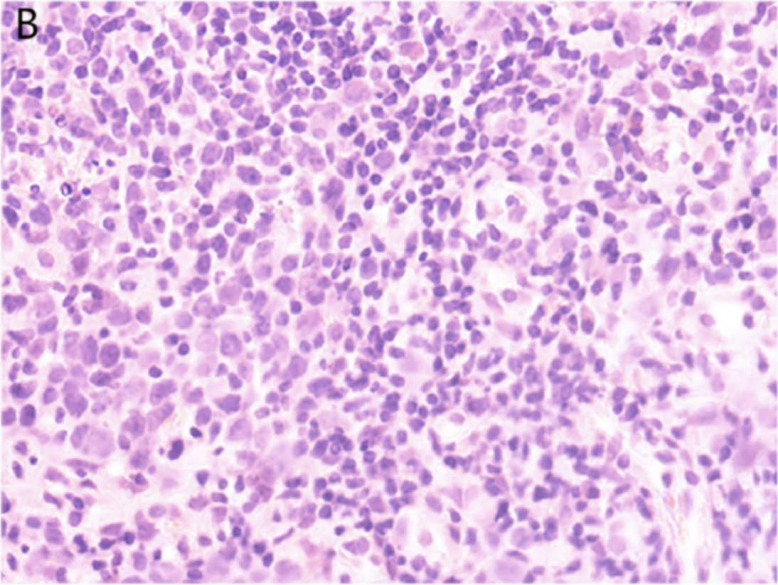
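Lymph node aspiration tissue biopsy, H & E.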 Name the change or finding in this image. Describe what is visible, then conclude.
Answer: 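Proliferative lesions of lymphoid tissue. The field is filled by a dense sheet of closely packed cells with purple nuclei. The nuclei vary in size, some small and dark, others larger and paler. No normal connective tissue architecture is seen between the cells.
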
